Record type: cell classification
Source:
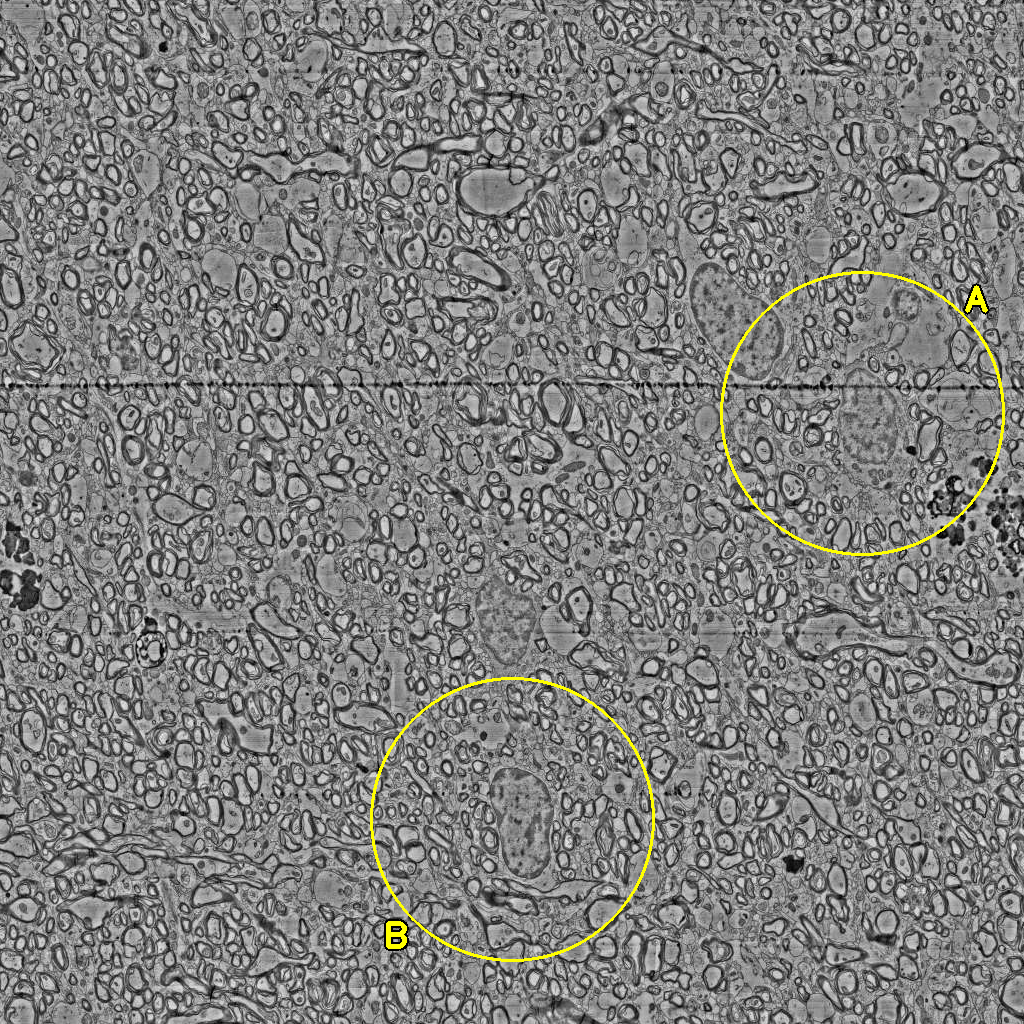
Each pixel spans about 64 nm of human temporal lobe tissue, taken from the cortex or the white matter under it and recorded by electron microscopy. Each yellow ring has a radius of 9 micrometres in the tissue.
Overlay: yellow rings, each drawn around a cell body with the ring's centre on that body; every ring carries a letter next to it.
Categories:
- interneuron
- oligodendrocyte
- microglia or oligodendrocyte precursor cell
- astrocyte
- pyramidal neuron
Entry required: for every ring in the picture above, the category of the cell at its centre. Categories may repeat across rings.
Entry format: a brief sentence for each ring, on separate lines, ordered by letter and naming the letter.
At the centre of ring A lies an oligodendrocyte.
At the centre of ring B lies a microglial cell or oligodendrocyte precursor cell.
